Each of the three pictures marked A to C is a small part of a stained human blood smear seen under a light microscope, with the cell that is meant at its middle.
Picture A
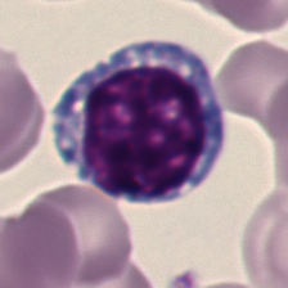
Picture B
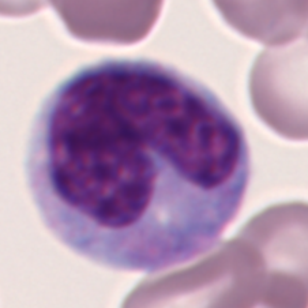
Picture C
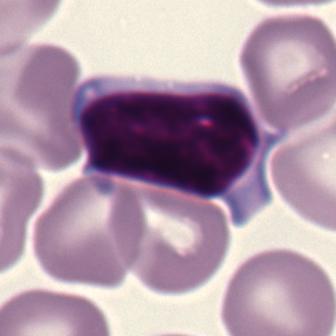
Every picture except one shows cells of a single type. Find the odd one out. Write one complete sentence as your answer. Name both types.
All pictures except B show typical lymphocytes; picture B shows a monocyte.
